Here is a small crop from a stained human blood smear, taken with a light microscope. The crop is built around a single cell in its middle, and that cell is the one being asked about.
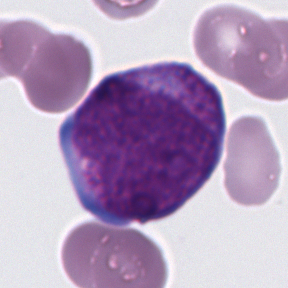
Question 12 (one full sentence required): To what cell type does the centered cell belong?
This crop is built around an atypical promyelocyte at its centre.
